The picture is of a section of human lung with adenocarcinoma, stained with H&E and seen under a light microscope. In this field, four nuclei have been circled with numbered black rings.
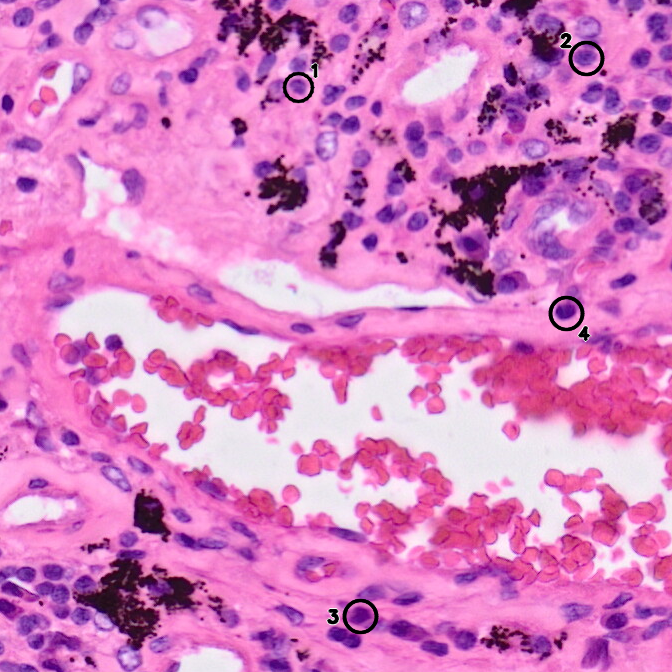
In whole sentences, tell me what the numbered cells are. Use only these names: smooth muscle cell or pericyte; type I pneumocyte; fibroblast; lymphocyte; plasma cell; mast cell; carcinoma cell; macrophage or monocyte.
Cells 1, 2 and 4 are lymphocytes. Cell 3 is a plasma cell.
